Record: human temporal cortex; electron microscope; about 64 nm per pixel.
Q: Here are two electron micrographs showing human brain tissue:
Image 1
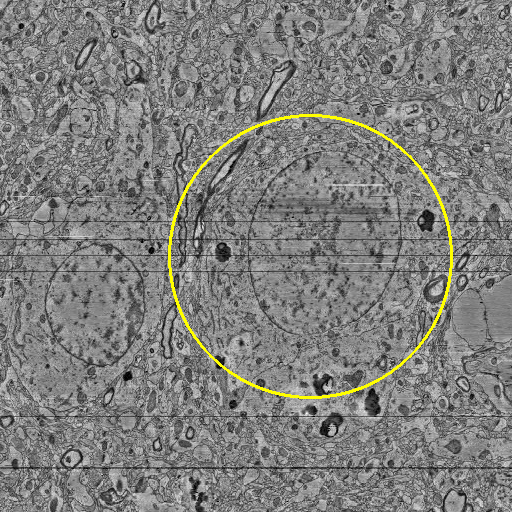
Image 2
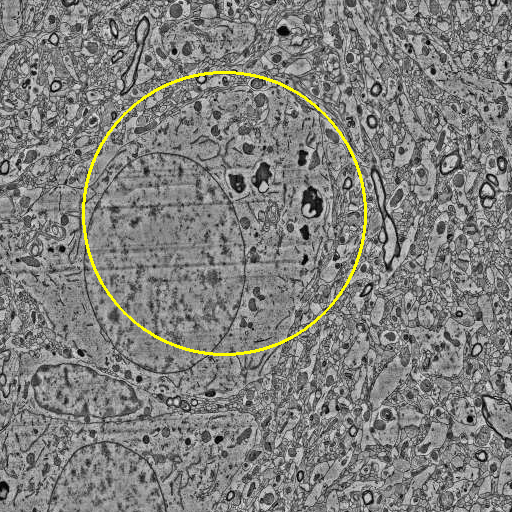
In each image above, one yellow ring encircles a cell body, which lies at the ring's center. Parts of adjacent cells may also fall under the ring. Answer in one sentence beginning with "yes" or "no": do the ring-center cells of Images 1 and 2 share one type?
Yes, in Images 1 and 2, the ring-center cells are both of one type.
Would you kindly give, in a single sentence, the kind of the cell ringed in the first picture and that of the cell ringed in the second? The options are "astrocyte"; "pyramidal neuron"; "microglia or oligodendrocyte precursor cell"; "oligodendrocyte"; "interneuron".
Each cell at the centre of a ring is a pyramidal neuron.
